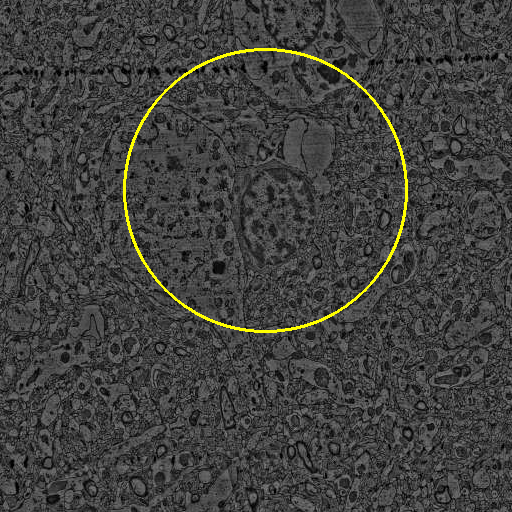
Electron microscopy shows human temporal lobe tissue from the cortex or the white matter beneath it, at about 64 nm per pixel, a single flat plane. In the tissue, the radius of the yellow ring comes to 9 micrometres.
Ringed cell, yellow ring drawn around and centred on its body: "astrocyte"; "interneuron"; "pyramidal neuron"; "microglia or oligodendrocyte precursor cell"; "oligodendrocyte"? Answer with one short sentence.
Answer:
This ringed cell is an oligodendrocyte.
